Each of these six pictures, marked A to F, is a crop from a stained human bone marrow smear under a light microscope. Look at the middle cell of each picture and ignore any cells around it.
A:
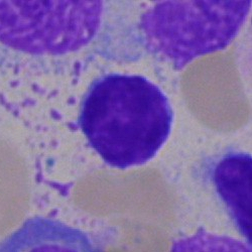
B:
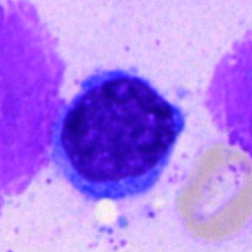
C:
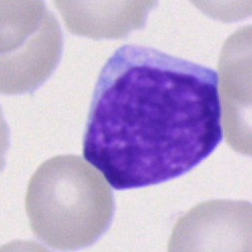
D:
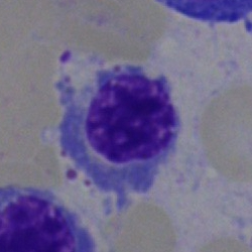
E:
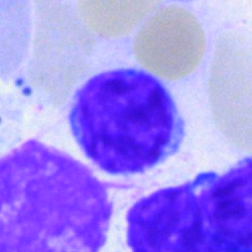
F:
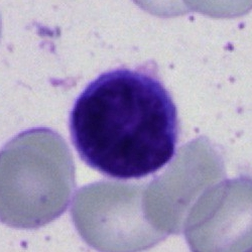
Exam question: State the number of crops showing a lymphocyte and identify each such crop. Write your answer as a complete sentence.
Present in four crops, A, B, E and F, are lymphocytes.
